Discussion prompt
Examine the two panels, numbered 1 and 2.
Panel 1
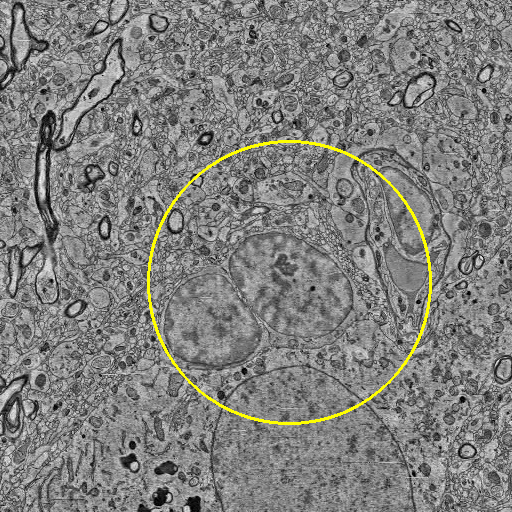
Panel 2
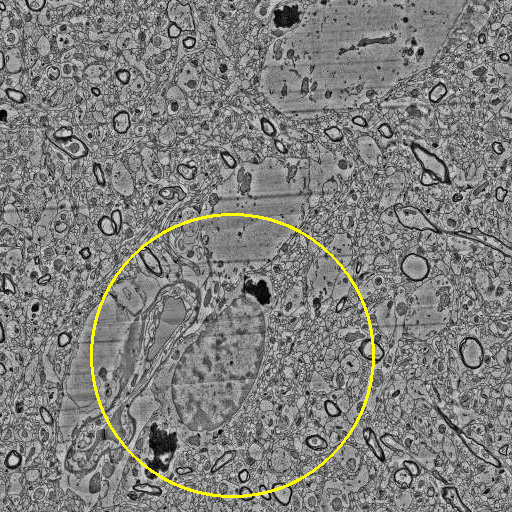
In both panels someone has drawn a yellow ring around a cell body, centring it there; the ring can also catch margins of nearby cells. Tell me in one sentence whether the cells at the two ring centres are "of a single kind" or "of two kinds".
Taken together, the two cells centred in the rings of Panels 1 and 2 are of a single kind.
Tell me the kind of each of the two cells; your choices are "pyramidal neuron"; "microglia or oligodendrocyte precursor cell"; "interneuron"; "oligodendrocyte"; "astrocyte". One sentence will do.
The cell at the ring centre is an oligodendrocyte in both pictures.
